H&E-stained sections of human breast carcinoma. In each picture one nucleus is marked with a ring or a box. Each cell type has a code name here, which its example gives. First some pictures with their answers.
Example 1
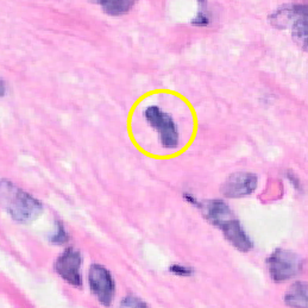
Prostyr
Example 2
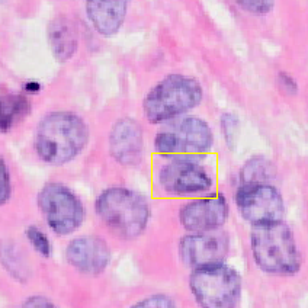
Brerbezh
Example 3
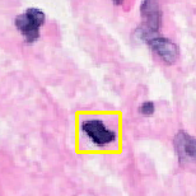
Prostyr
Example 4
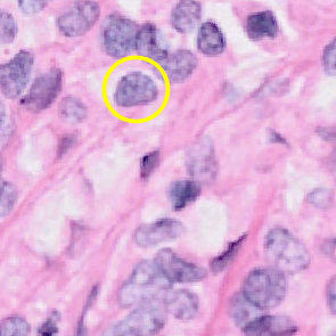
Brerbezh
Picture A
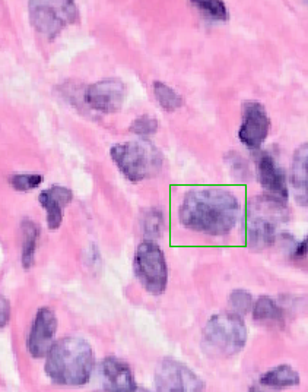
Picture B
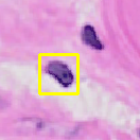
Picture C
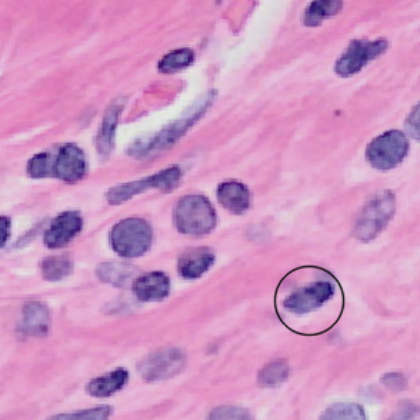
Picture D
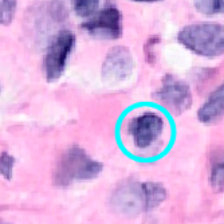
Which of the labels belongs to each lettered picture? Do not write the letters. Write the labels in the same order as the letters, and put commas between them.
Brerbezh, Prostyr, Prostyr, Prostyr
